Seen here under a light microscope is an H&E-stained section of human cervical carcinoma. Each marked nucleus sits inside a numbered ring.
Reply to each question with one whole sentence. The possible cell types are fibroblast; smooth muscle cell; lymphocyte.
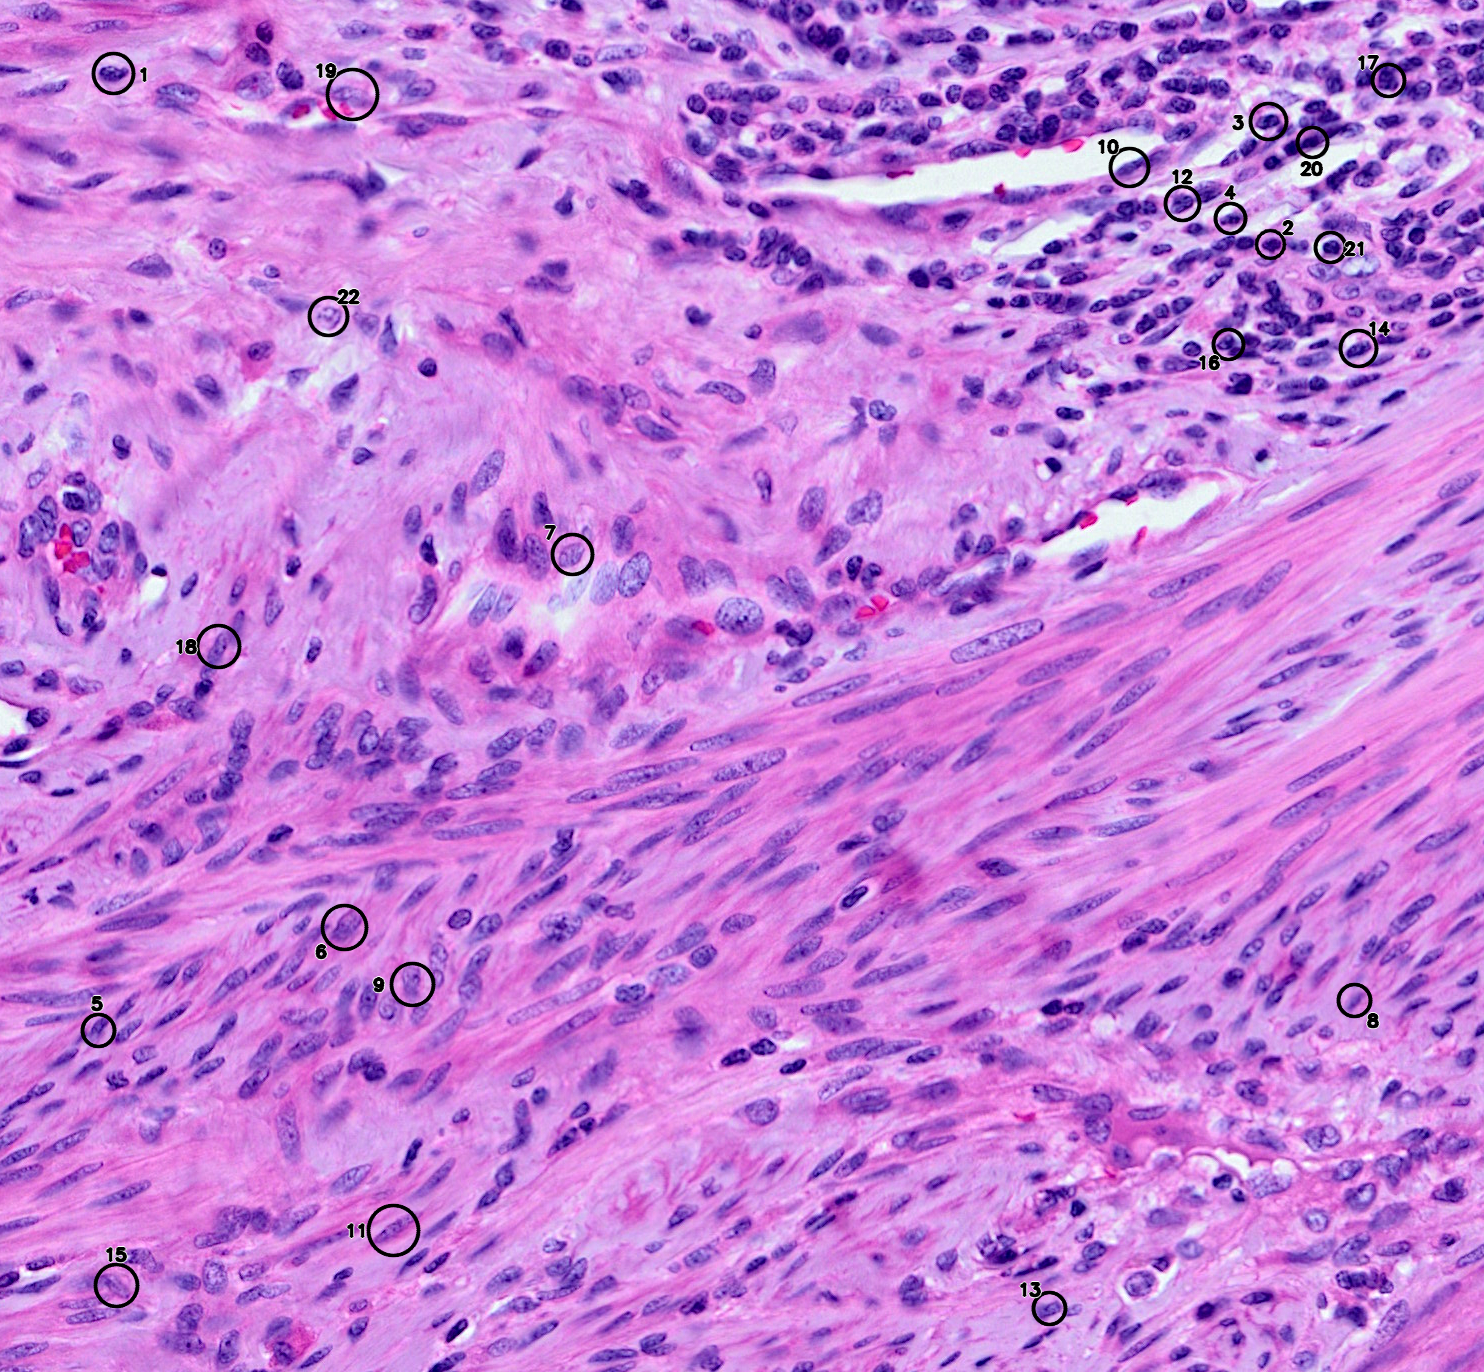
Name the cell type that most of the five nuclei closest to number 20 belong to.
Of the five nuclei nearest to number 20, most belong to lymphocytes.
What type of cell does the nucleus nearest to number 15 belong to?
It is a smooth muscle cell whose nucleus is nearest to number 15.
